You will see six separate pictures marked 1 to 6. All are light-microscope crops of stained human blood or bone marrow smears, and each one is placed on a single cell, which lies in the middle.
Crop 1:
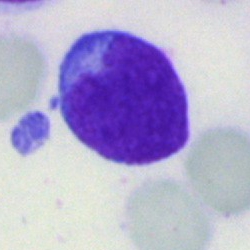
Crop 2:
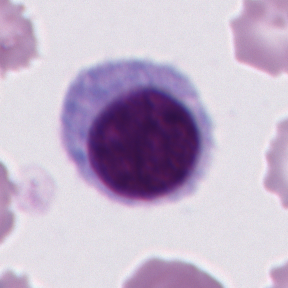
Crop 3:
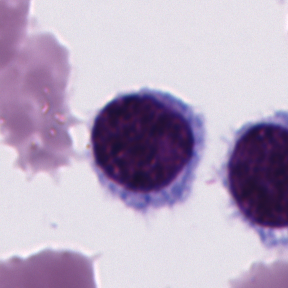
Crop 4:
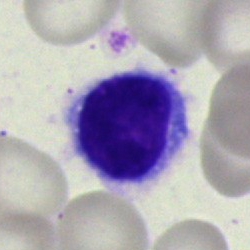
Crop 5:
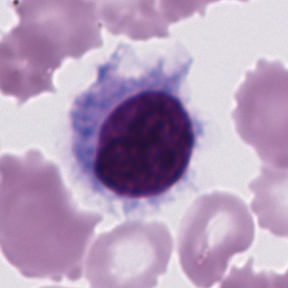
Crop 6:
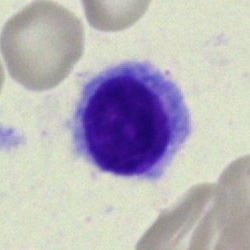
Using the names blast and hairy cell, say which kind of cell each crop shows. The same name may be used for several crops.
1: blast
2: hairy cell
3: hairy cell
4: hairy cell
5: hairy cell
6: hairy cell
